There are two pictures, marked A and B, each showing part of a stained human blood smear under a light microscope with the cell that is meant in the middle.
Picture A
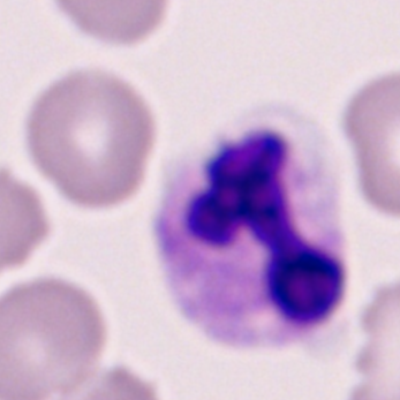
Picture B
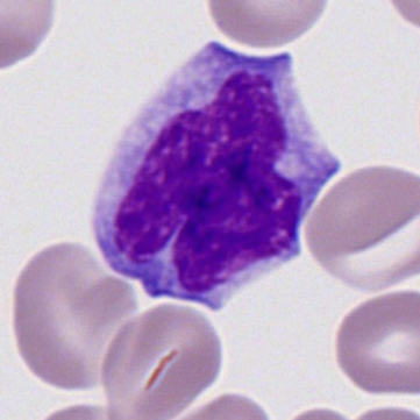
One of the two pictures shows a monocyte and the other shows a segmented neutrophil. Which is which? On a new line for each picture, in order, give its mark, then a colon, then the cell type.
A: segmented neutrophil
B: monocyte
